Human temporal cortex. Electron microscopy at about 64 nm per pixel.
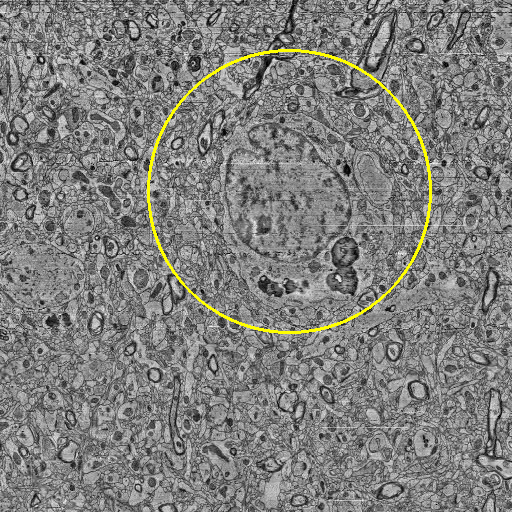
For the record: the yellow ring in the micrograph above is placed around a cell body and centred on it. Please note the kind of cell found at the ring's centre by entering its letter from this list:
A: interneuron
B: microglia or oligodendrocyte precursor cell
A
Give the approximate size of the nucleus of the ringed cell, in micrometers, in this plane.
The nucleus works out at approximately 9 by 8 micrometres in this plane.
